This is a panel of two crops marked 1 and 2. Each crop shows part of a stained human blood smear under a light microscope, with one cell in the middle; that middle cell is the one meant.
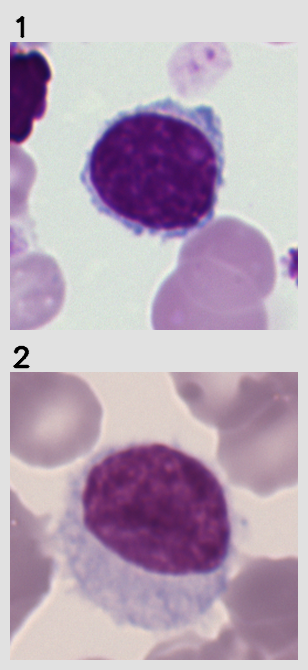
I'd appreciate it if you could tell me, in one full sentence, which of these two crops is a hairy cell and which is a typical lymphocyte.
For crop 1 the cell is a typical lymphocyte, and for crop 2 it is a hairy cell.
